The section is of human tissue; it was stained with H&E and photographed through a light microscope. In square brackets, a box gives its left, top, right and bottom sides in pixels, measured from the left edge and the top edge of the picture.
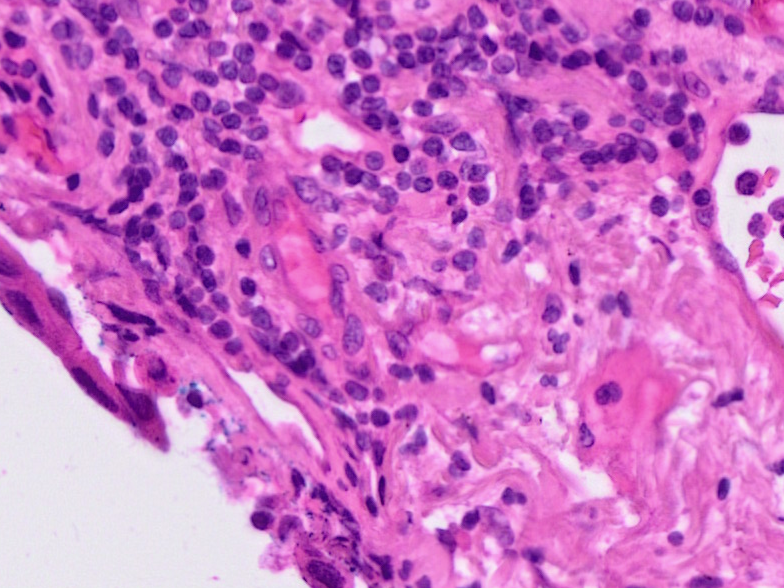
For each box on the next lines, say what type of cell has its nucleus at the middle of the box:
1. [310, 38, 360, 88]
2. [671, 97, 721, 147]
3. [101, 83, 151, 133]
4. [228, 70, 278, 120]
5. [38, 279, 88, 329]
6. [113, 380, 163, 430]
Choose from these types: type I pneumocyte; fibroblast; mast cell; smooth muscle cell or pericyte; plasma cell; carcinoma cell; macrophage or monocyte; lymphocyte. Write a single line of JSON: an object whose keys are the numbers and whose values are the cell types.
{"1": "lymphocyte", "2": "lymphocyte", "3": "lymphocyte", "4": "lymphocyte", "5": "carcinoma cell", "6": "carcinoma cell"}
